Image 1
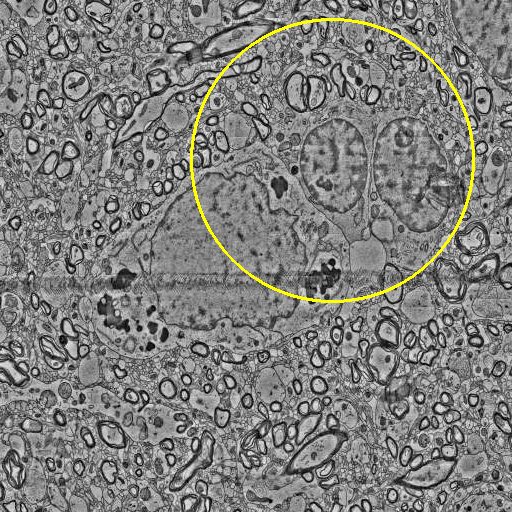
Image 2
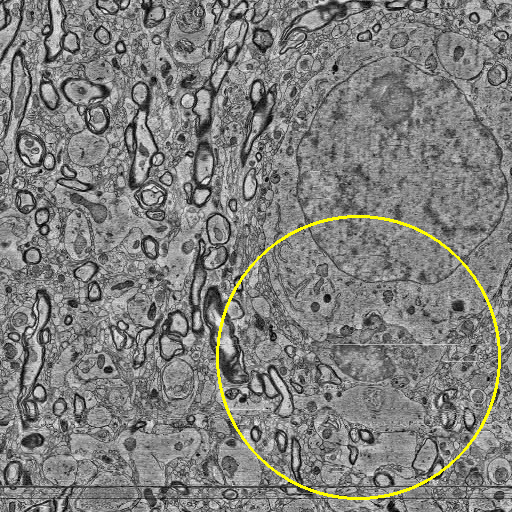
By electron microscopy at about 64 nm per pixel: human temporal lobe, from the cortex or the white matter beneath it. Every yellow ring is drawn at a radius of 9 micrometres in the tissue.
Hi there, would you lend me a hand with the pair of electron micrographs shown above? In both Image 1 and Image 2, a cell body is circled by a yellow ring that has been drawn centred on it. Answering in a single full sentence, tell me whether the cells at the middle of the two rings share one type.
Yes, the ringed cells in Image 1 and Image 2 share one type.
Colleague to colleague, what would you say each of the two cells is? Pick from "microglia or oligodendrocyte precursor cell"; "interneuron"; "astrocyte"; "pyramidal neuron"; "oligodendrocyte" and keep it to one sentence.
Both pictures show an oligodendrocyte at the centre of the ring.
